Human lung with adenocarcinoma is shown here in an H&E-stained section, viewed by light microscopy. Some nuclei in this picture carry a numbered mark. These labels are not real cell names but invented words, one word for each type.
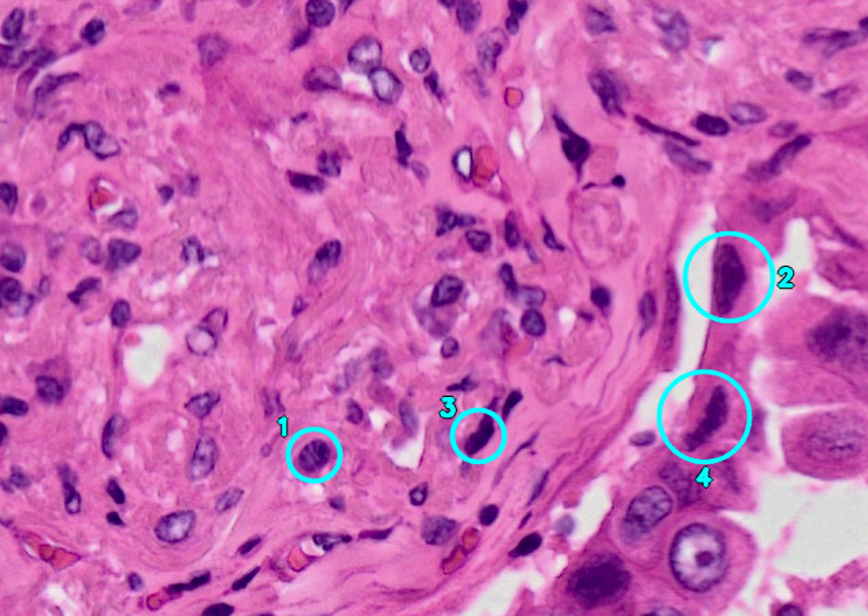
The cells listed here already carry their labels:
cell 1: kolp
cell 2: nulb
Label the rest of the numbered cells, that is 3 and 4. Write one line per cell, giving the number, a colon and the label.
3: kolp
4: nulb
